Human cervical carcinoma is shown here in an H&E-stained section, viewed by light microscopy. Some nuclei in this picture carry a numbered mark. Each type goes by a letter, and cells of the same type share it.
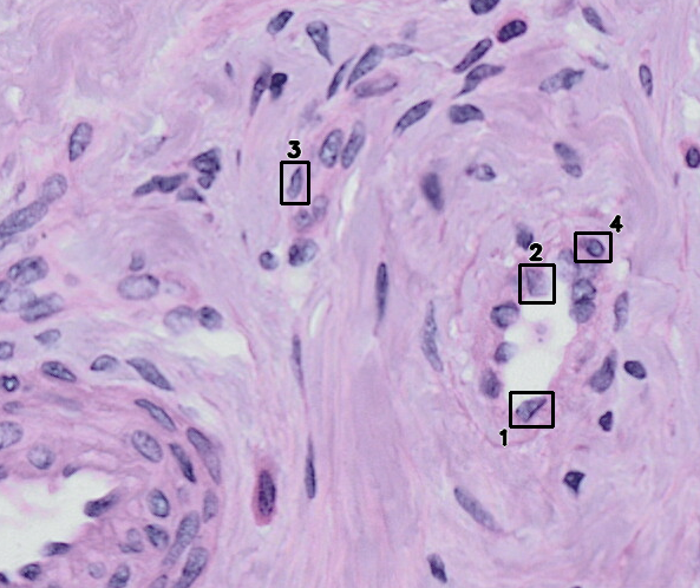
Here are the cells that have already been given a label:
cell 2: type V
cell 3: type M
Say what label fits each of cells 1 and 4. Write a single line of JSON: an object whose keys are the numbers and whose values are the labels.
{"1": "type V", "4": "type M"}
